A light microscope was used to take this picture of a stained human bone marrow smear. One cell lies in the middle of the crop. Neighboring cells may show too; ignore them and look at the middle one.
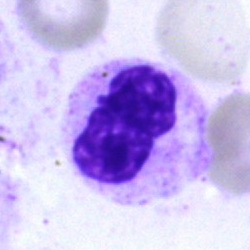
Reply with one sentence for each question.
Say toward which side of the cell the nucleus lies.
Seen from the middle of the cell, the nucleus lies toward the upper left.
